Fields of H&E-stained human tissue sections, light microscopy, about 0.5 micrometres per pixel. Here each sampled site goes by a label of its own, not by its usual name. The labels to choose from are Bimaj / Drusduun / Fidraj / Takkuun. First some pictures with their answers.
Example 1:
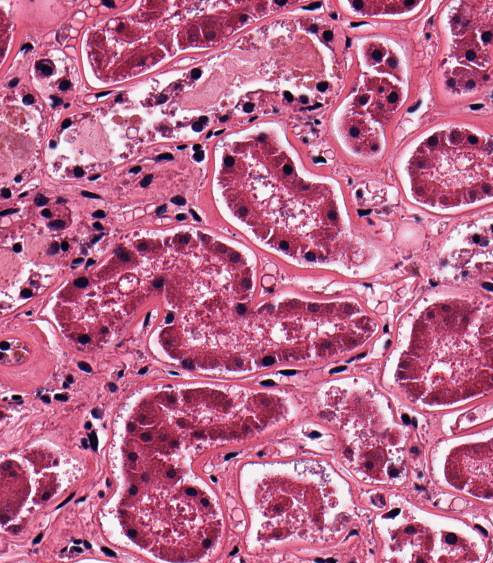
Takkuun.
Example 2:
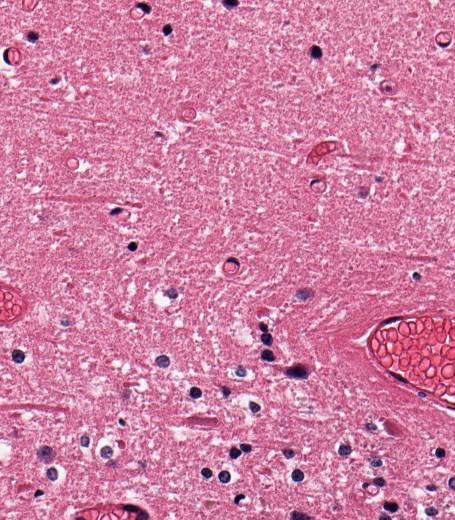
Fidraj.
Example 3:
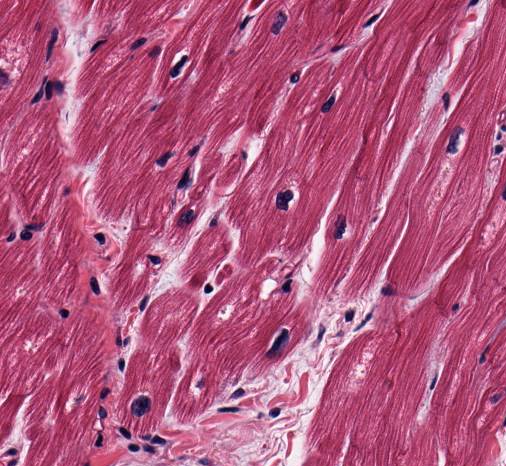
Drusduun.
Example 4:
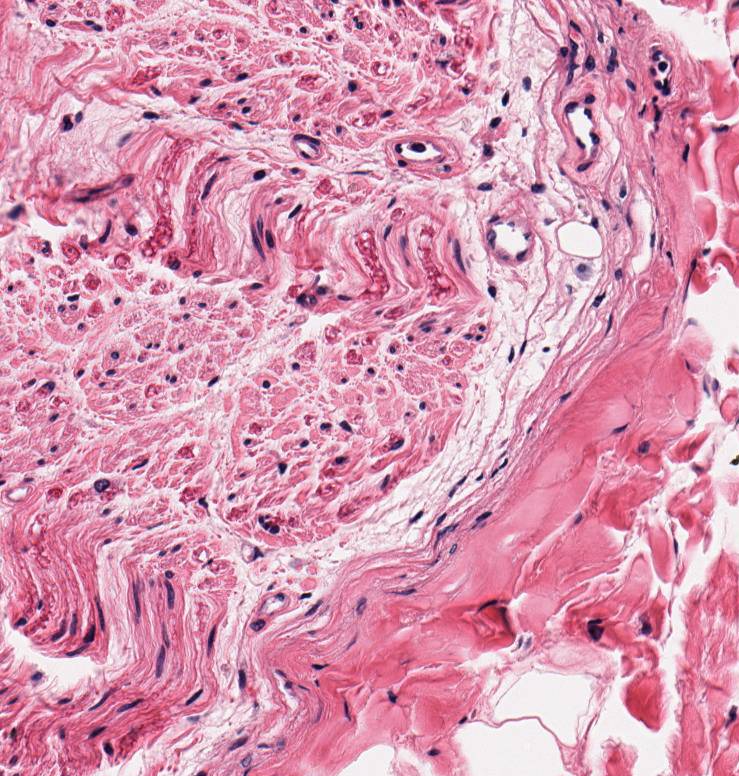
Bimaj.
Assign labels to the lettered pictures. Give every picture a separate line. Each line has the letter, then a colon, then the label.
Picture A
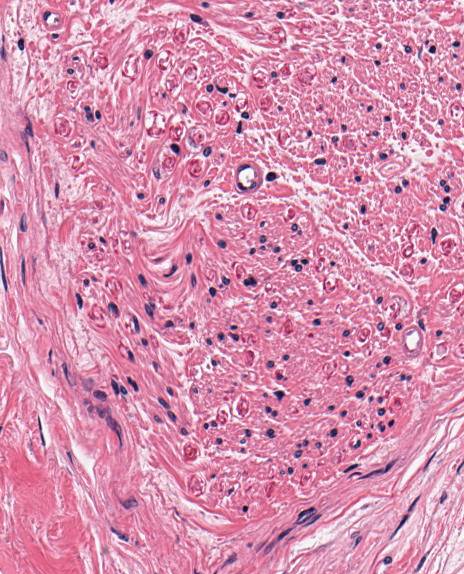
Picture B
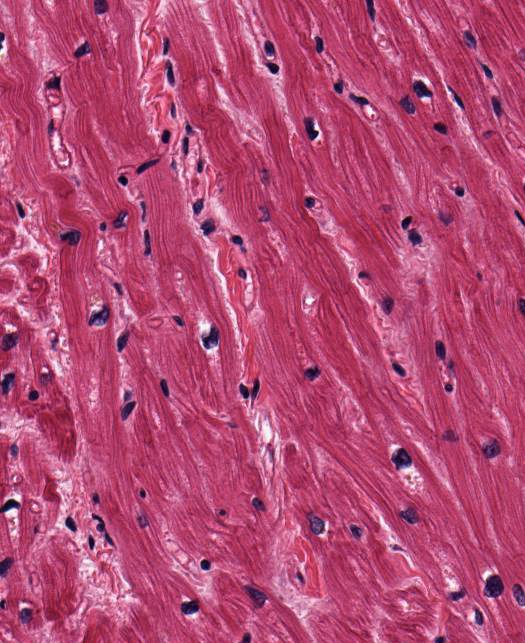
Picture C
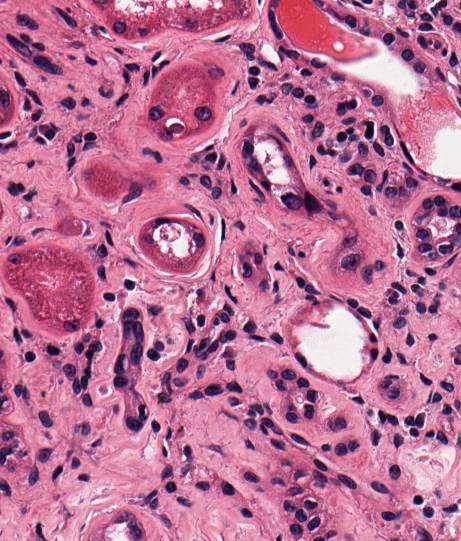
A: Bimaj.
B: Drusduun.
C: Takkuun.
